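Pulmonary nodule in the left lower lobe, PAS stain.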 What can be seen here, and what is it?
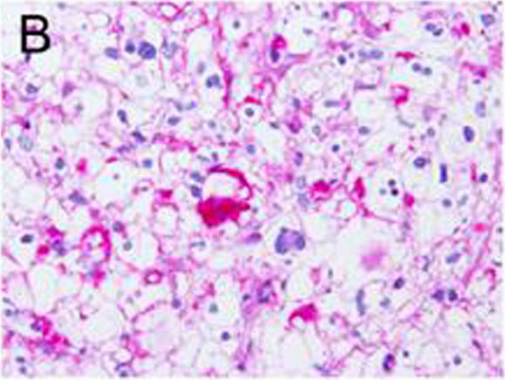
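Tumor cells with clear, vacuolated cytoplasm and blue-purple nuclei of varying size. Magenta deposits of differing size lie within the cytoplasm of many cells, some as coarse clumps. Cell borders form a fine pink meshwork around the clear cells.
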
